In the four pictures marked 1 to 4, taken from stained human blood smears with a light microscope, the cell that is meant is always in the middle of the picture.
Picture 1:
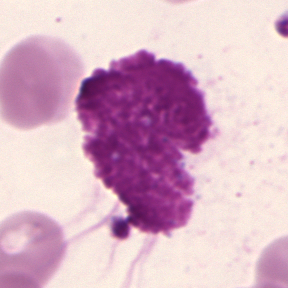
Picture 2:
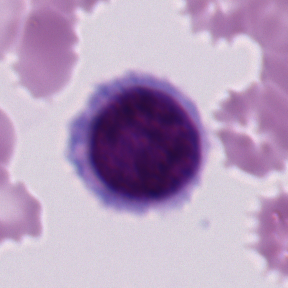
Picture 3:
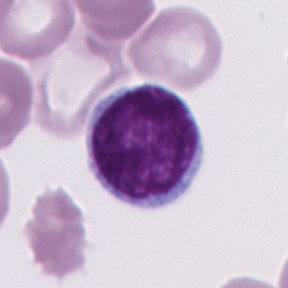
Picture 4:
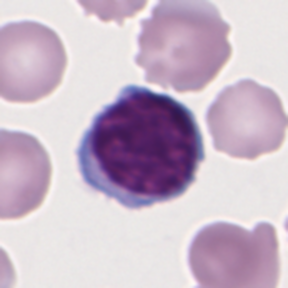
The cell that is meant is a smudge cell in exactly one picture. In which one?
1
